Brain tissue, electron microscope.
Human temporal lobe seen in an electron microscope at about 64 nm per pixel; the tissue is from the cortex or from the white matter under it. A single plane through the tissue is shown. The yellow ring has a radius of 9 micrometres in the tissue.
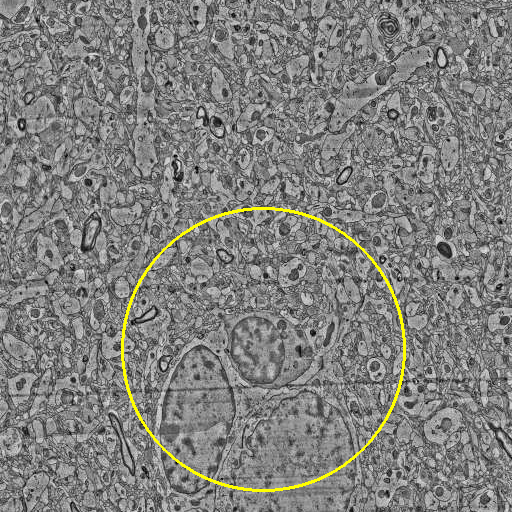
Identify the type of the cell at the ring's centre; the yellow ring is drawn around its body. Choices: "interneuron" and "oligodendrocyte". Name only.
oligodendrocyte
